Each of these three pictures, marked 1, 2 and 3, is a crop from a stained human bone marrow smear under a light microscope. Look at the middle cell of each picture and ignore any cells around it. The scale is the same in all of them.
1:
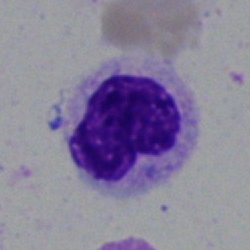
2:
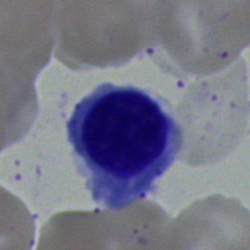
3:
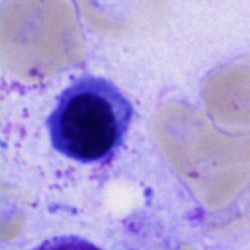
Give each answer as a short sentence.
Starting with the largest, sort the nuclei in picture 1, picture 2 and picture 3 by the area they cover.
The order is 1, 2, 3, beginning with the largest.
